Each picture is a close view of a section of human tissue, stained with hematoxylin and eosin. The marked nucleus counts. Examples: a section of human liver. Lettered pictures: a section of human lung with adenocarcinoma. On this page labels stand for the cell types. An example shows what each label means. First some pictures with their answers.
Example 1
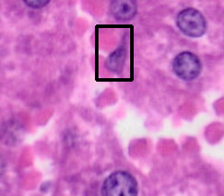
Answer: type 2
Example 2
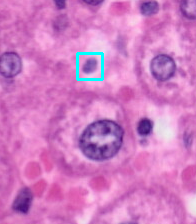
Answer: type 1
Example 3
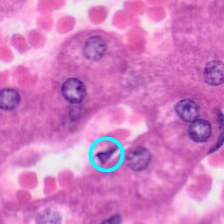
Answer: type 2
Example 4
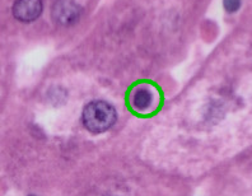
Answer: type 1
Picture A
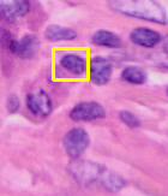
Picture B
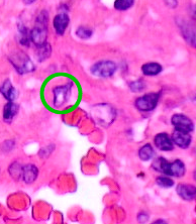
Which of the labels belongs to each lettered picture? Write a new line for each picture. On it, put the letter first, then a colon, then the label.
A: type 1
B: type 2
